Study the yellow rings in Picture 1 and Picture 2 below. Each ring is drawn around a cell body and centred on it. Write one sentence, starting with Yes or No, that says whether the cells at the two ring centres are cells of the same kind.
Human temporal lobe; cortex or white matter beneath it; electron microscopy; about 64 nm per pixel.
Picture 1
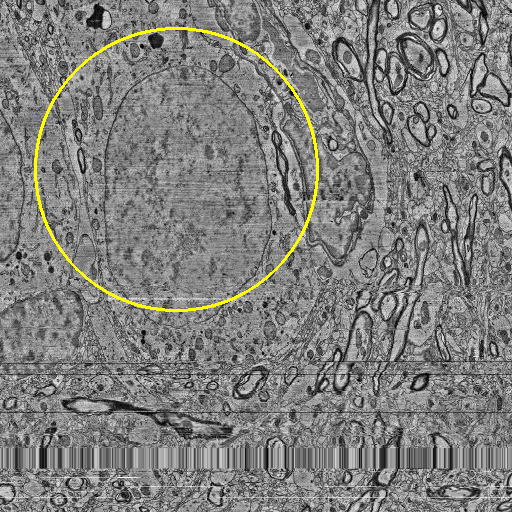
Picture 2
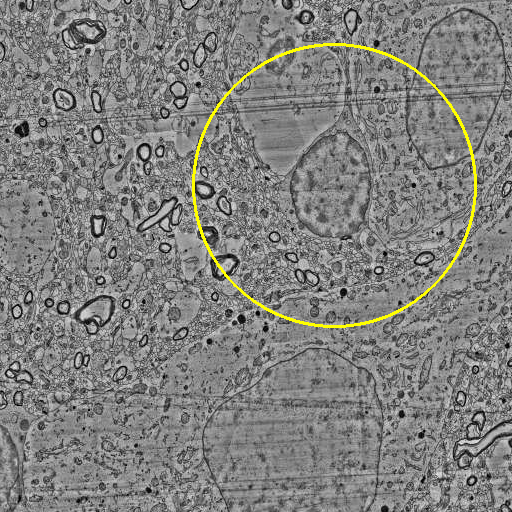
No, the cells at the ring centres are of two kinds.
